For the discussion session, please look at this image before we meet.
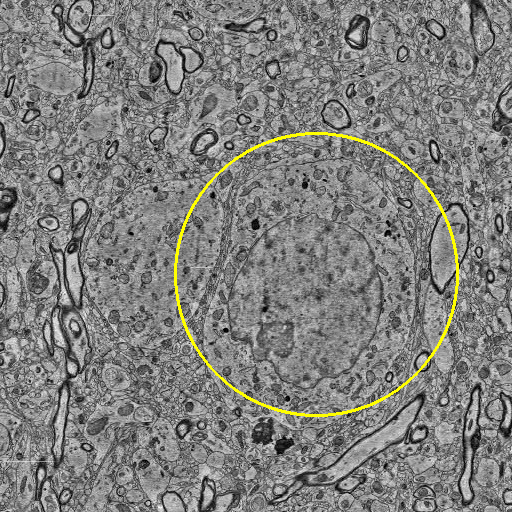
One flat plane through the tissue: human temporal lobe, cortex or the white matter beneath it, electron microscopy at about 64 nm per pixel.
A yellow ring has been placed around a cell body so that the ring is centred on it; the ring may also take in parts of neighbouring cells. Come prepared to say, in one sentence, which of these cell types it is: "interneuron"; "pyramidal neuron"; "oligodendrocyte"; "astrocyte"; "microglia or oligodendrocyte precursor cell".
The cell centred in the ring is an interneuron.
